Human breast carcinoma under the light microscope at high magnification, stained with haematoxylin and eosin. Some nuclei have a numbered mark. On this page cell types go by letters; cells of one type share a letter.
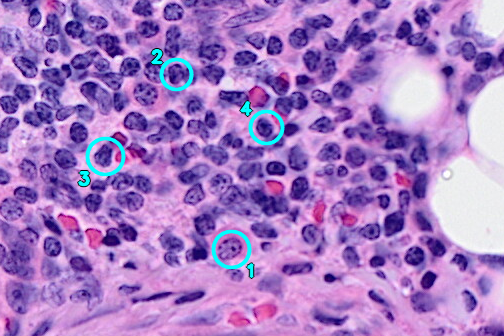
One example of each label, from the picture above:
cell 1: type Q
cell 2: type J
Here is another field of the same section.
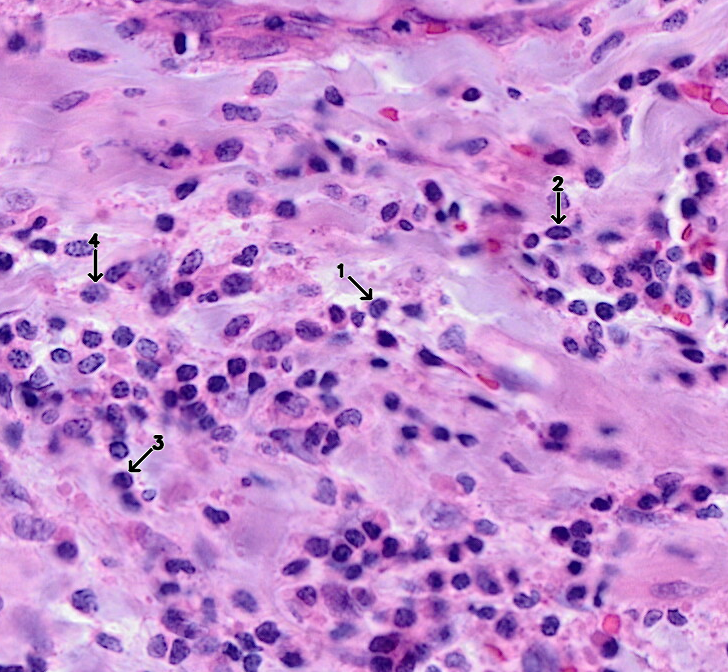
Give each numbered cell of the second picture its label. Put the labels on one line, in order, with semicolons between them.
type J; type J; type J; type Q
